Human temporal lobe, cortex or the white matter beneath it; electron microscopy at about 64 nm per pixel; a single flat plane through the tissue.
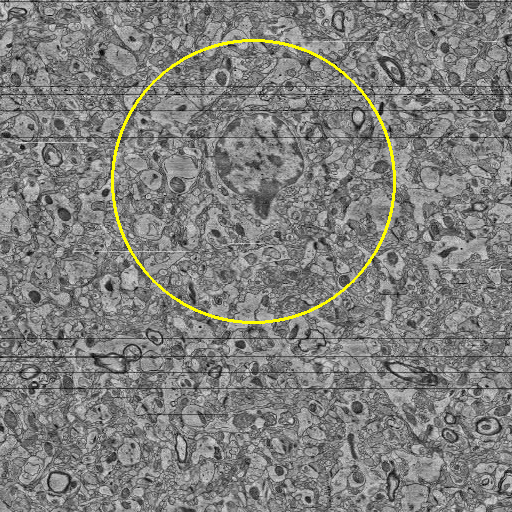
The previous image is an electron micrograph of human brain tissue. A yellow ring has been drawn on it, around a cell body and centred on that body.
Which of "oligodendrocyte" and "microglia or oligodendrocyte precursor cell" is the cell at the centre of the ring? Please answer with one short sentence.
The cell body at the centre of the ring belongs to a microglial cell or oligodendrocyte precursor cell.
